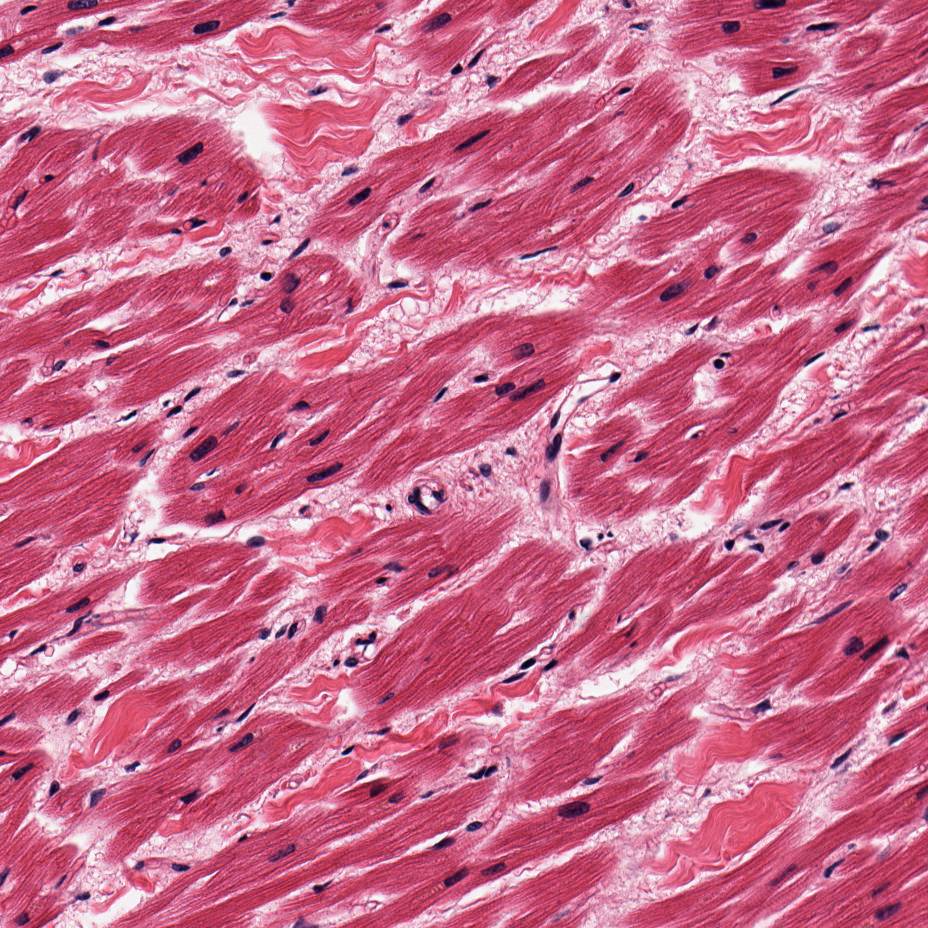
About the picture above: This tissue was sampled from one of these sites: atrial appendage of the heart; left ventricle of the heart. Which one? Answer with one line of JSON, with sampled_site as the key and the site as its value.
{"sampled_site": "atrial appendage of the heart"}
